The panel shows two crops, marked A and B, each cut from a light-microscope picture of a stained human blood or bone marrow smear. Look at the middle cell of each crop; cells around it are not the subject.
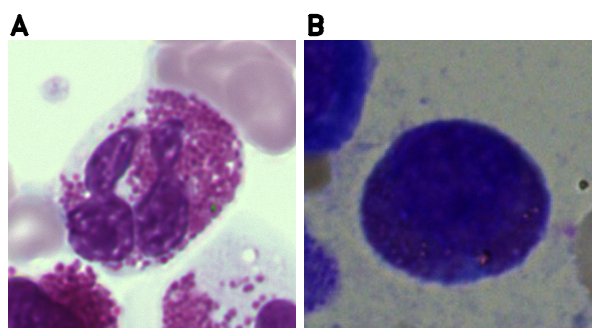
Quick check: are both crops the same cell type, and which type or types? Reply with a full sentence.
Yes, both crops show eosinophils at their middles.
